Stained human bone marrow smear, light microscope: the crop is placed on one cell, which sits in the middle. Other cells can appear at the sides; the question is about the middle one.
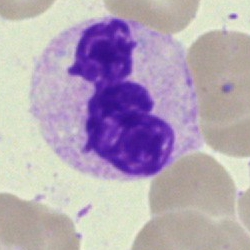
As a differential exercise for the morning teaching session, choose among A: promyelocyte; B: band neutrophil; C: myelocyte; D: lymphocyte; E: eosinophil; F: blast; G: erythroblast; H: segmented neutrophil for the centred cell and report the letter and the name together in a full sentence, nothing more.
The correct option is H, as the central cell is a segmented neutrophil.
